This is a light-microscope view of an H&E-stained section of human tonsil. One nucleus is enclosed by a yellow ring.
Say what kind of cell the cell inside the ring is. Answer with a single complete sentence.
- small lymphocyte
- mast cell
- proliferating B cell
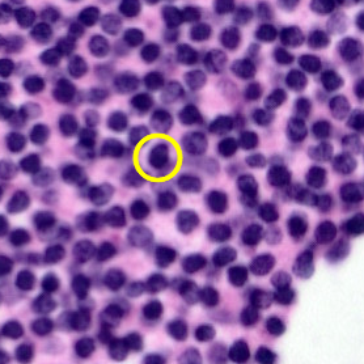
This is a small lymphocyte.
